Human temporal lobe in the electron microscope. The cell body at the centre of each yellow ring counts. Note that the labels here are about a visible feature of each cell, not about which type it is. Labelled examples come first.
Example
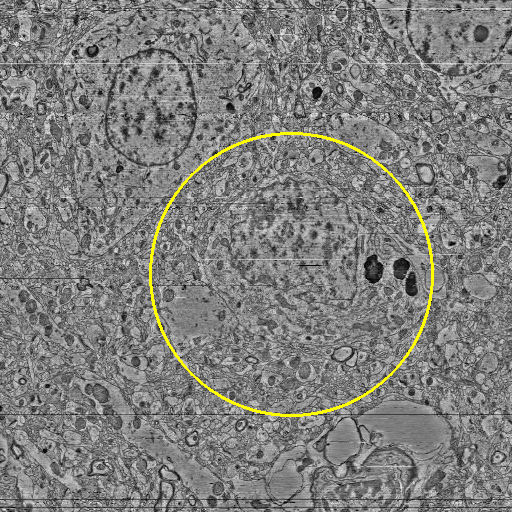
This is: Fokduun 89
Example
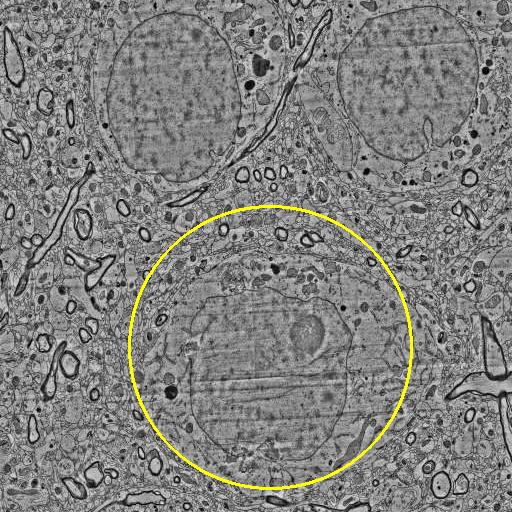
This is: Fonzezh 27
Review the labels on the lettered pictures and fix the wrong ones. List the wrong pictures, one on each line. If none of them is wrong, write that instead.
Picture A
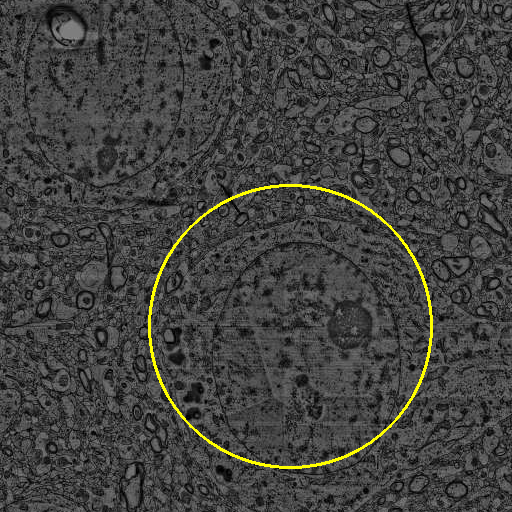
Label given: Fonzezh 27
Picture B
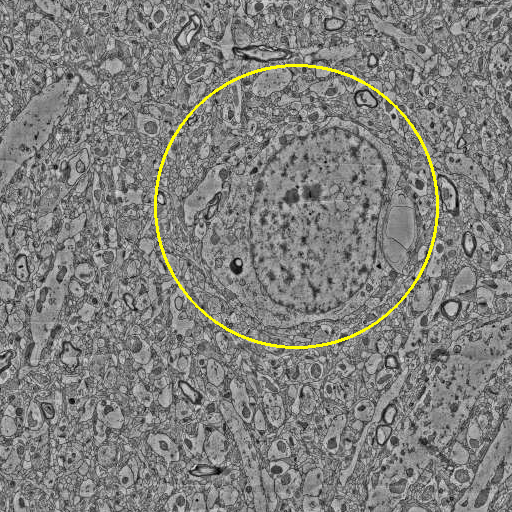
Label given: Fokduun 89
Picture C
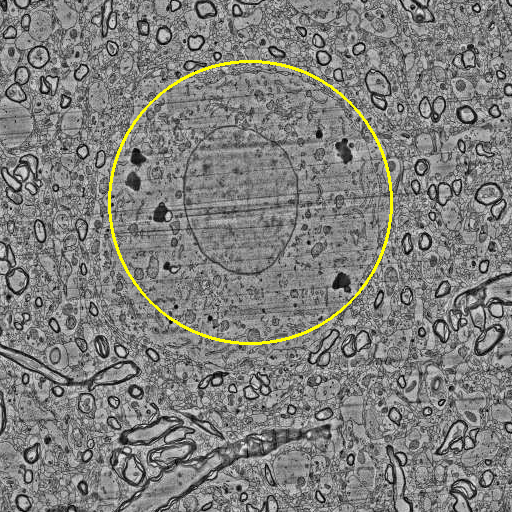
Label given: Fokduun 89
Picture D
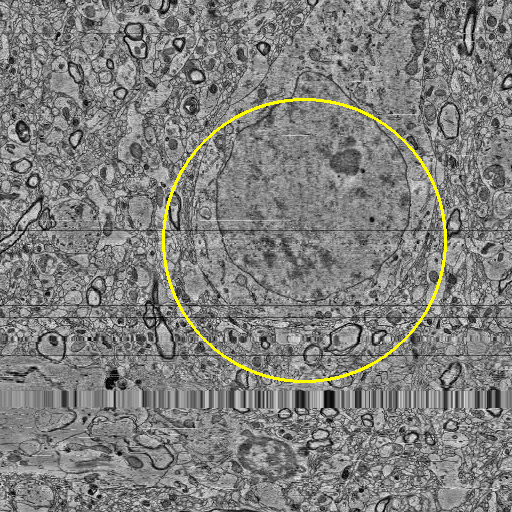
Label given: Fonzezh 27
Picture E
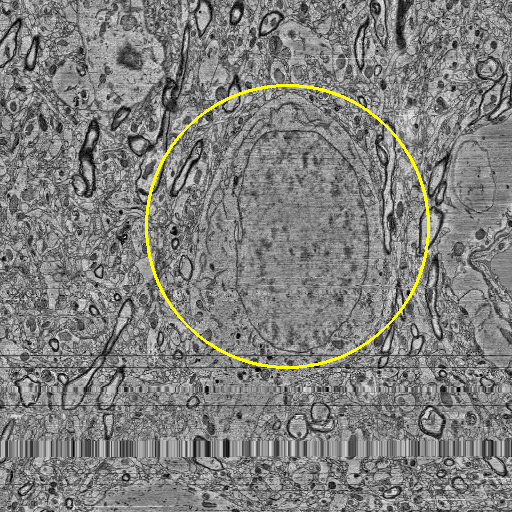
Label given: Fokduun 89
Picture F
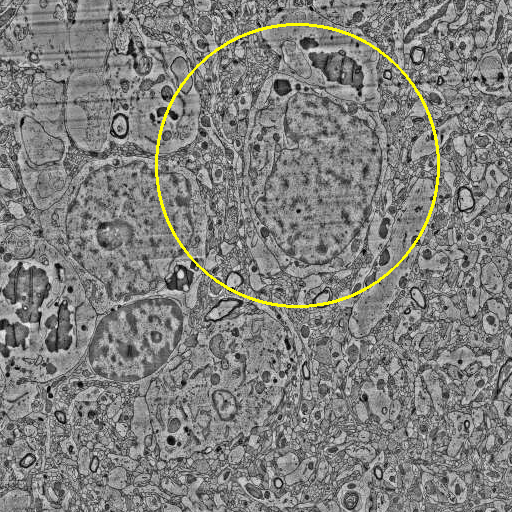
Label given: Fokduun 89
B: Fonzezh 27, not Fokduun 89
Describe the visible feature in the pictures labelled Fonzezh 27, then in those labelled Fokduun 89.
In Fonzezh 27: nucleolus seen. In Fokduun 89: no nucleolus seen.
